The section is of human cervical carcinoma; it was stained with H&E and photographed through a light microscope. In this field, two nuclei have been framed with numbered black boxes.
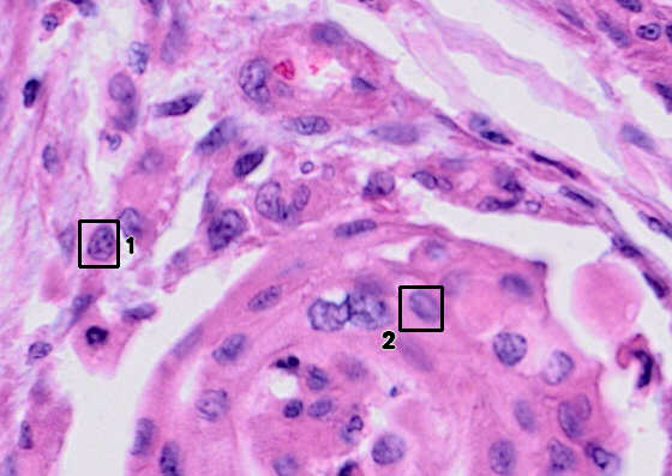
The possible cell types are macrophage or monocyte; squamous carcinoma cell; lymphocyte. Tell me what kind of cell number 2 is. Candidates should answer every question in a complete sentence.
The cell given label 2 is a squamous carcinoma cell.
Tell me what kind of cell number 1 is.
In this section, the cell numbered 1 is a macrophage or monocyte.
